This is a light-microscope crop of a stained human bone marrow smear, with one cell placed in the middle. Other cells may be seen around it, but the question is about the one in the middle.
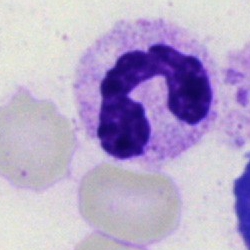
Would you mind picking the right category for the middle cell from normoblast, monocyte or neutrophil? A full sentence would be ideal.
The cell sitting right in the middle is a neutrophil.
